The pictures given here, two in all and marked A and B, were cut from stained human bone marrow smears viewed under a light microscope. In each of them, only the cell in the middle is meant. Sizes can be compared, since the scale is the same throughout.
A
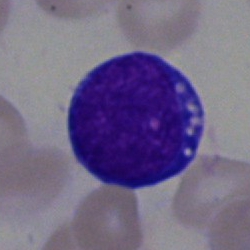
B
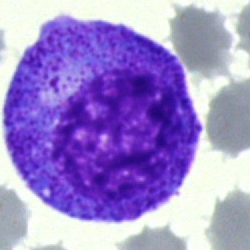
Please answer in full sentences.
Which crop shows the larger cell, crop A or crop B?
The cell in crop B is larger, with about 2 times the area of the one in crop A.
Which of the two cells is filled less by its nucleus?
In crop B the nucleus takes up the smaller part of its cell.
